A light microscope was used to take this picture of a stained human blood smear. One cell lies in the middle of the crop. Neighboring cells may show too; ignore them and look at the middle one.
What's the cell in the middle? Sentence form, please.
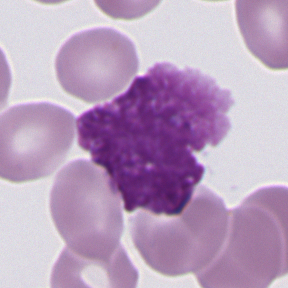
Located at the centre of the crop is a smudge cell.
